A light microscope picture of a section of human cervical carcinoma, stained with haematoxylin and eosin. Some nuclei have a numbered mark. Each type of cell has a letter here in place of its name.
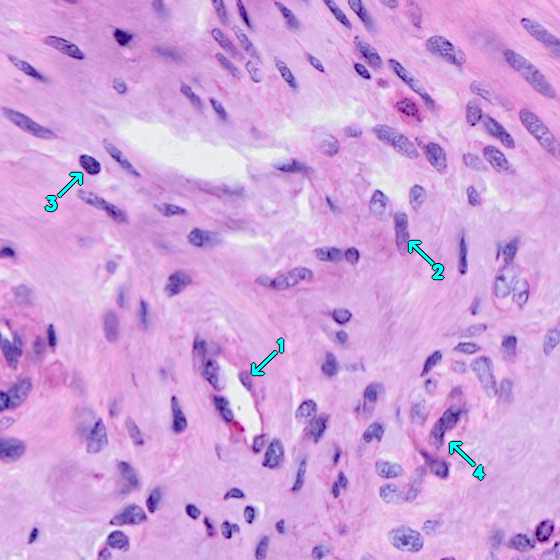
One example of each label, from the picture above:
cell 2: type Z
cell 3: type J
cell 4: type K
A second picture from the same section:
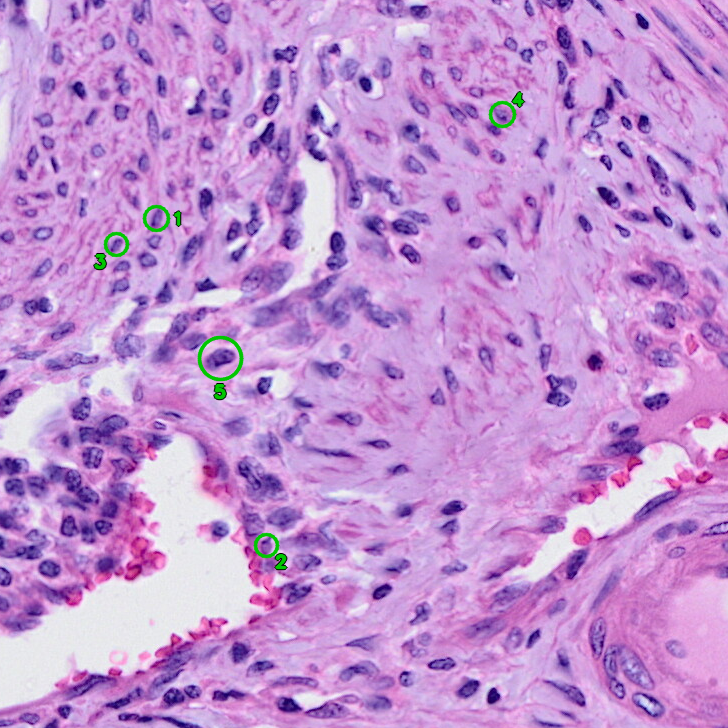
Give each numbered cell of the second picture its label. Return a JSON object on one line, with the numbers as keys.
{"1": "type Z", "2": "type K", "3": "type Z", "4": "type Z", "5": "type J"}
